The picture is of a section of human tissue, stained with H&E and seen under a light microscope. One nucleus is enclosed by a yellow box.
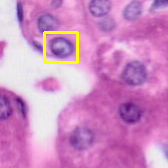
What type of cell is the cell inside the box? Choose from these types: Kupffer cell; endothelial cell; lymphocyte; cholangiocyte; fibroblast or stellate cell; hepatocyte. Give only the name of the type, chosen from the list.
cholangiocyte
